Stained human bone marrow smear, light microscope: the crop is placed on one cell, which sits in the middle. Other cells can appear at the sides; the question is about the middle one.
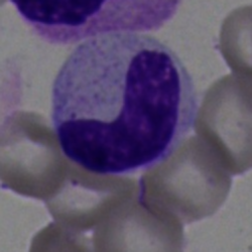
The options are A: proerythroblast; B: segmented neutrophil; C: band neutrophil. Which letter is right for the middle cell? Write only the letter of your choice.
C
